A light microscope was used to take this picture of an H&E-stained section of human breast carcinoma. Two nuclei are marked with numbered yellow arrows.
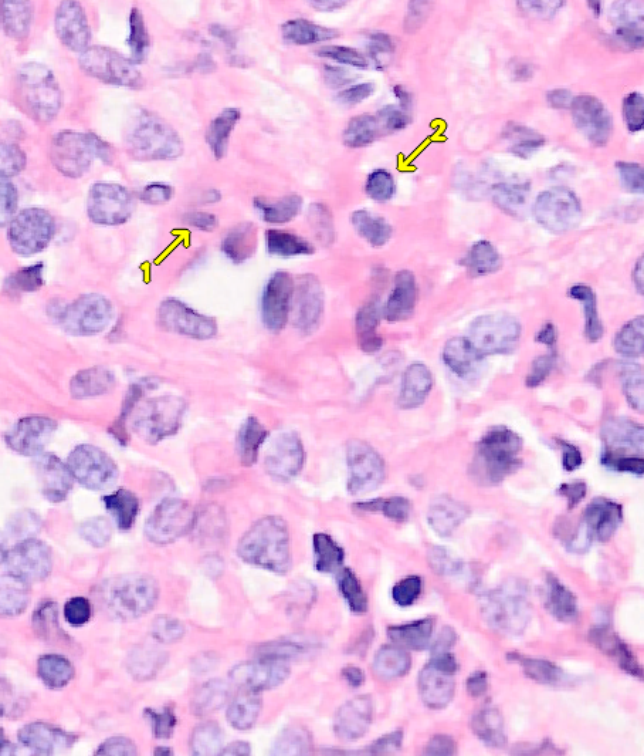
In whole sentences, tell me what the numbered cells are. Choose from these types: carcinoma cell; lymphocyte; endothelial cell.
Cell 1 is an endothelial cell. Cell 2 is a lymphocyte.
